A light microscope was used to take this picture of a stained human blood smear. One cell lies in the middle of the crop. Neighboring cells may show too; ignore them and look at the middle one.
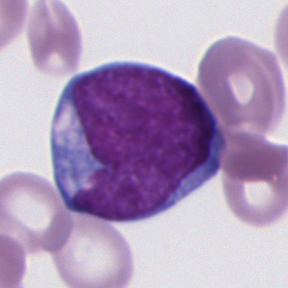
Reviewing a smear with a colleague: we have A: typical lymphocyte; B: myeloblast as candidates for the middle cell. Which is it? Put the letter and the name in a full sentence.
Since the middle cell is a myeloblast, option B is the right one.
